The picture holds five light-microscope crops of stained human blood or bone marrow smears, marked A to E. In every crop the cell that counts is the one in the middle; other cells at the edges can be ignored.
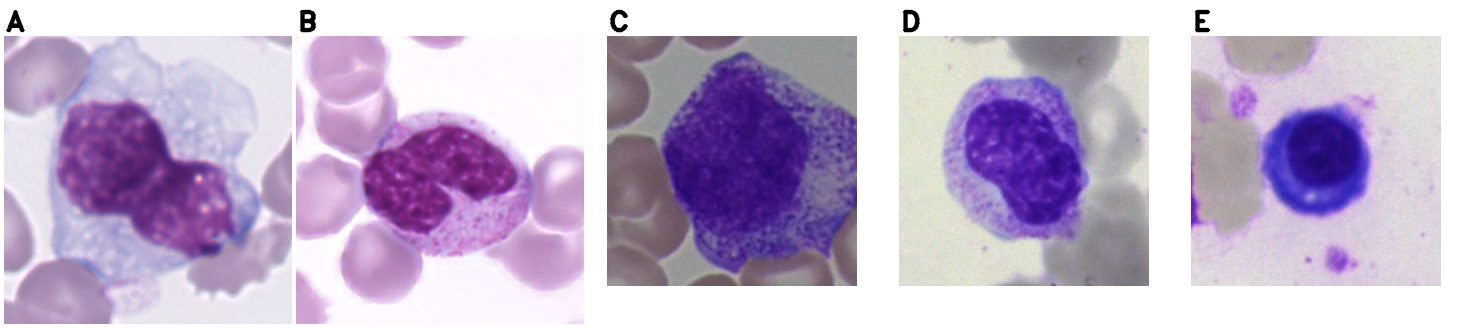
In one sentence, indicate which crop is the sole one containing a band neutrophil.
Crop B represents a band neutrophil, while the other crops do not.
